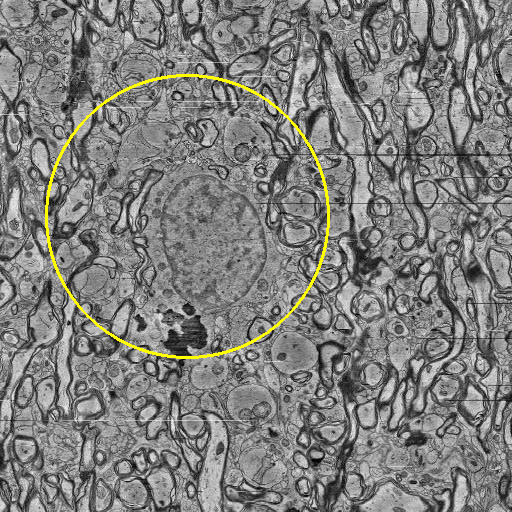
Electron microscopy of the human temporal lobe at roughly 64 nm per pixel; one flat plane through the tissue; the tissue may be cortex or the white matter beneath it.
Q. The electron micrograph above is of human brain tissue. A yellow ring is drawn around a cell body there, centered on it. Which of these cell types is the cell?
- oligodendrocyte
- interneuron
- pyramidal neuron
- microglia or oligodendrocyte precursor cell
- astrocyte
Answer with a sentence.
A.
The cell under the ring's center is an oligodendrocyte.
